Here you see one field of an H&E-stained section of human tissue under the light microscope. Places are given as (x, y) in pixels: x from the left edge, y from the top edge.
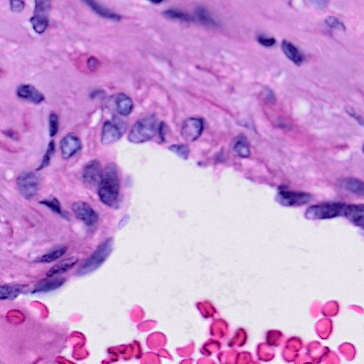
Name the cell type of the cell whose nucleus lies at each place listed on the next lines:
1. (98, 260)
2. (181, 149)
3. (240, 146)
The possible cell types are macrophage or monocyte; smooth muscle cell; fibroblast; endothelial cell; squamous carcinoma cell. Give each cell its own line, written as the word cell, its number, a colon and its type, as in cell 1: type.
cell 1: endothelial cell
cell 2: endothelial cell
cell 3: smooth muscle cell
